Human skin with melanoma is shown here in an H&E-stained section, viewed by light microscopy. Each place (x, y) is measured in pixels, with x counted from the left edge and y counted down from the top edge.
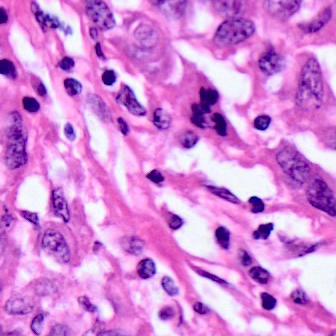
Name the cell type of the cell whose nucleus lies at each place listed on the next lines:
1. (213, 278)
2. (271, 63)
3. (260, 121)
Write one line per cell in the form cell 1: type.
cell 1: fibroblast or myofibroblast
cell 2: melanoma cell
cell 3: lymphocyte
